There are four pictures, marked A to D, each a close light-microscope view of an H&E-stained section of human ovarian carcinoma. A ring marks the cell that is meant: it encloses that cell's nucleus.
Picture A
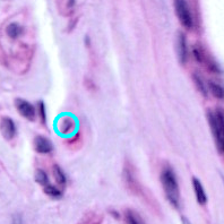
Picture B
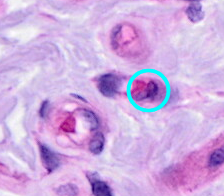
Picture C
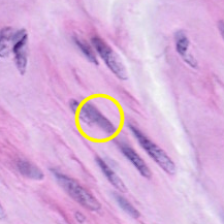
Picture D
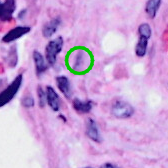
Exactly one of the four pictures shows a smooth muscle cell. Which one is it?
C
